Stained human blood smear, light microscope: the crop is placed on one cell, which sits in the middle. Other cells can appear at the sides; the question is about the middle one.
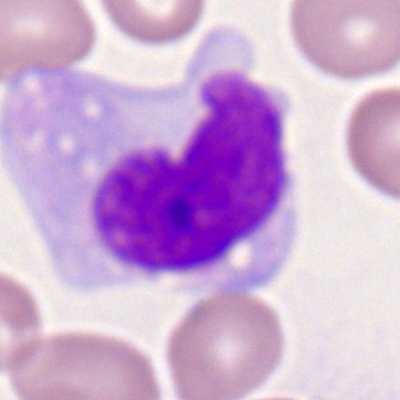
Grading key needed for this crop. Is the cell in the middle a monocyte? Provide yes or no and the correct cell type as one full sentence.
Yes, the cell in the centre is a monocyte.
